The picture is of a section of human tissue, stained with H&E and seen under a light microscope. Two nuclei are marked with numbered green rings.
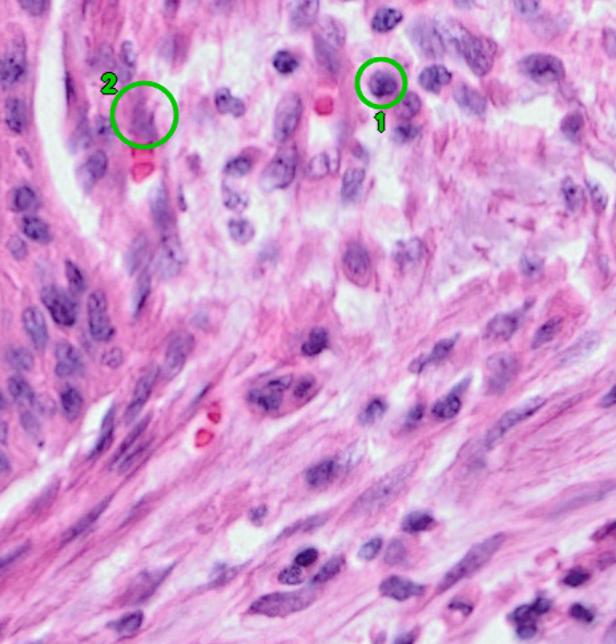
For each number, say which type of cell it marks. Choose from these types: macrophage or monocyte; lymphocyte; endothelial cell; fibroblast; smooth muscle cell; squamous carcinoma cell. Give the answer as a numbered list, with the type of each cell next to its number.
1. lymphocyte
2. endothelial cell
